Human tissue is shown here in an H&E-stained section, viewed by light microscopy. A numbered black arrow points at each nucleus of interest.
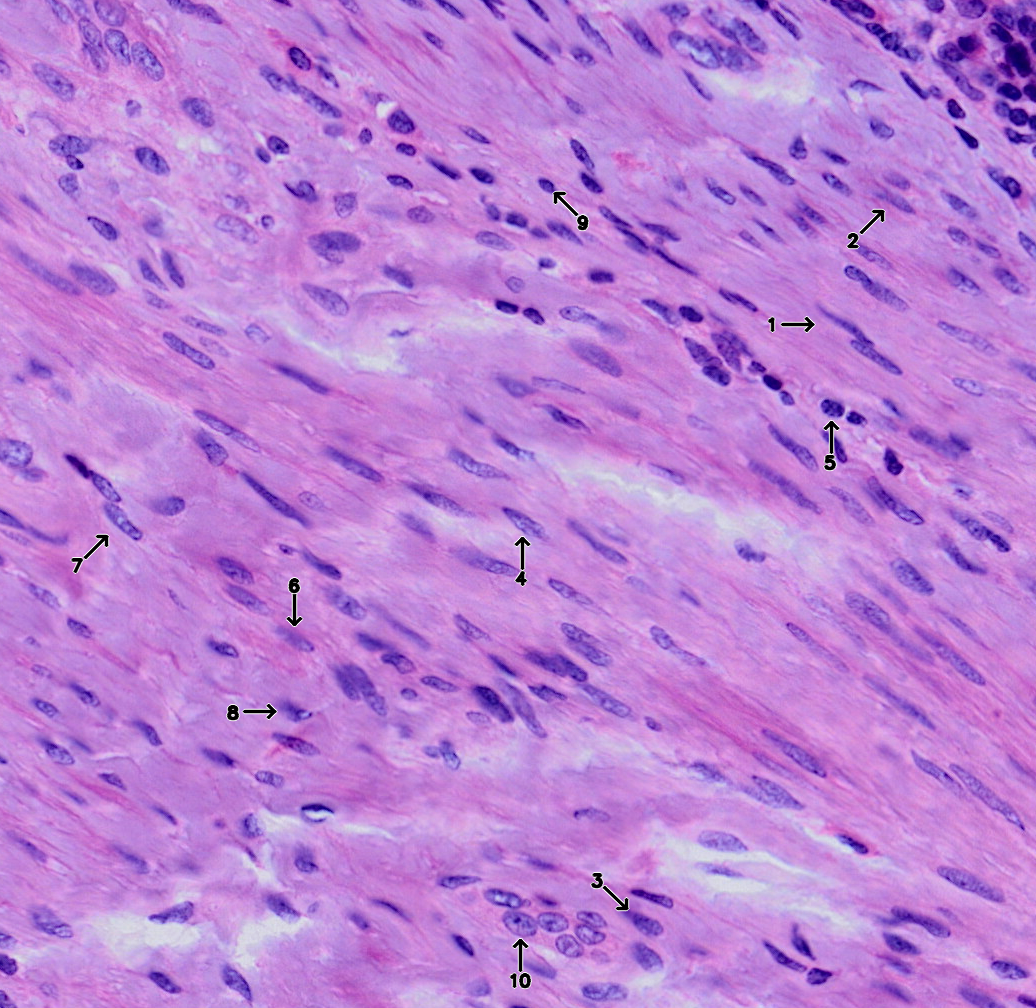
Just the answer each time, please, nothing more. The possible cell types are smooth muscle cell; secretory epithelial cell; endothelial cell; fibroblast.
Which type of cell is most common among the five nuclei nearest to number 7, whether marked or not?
fibroblast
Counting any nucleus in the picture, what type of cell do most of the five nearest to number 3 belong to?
endothelial cell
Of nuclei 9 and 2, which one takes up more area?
2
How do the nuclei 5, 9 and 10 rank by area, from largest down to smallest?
10, 5, 9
